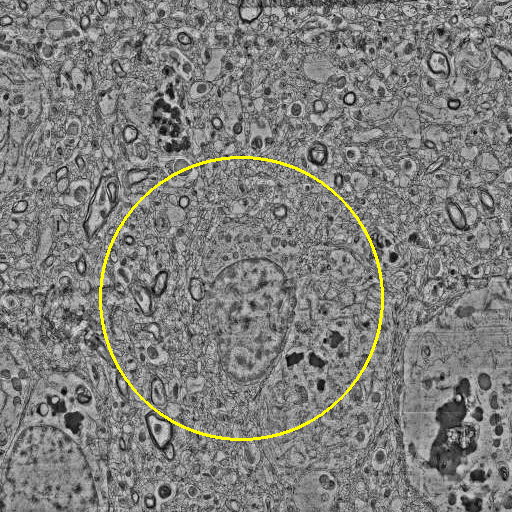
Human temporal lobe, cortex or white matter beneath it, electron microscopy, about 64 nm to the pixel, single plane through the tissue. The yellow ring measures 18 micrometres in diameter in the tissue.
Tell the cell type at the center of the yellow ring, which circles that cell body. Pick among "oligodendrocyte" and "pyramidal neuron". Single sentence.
The ring is centered on the body of an oligodendrocyte.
